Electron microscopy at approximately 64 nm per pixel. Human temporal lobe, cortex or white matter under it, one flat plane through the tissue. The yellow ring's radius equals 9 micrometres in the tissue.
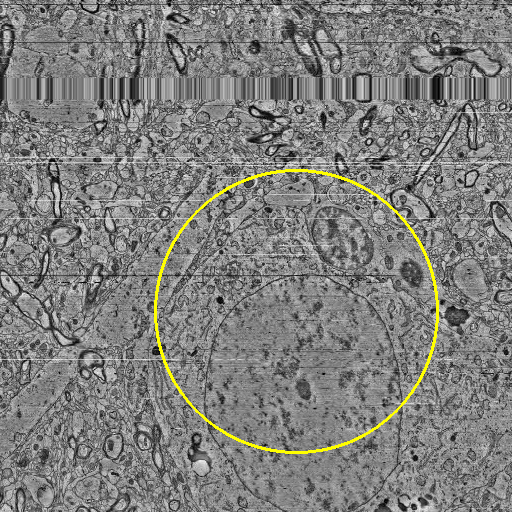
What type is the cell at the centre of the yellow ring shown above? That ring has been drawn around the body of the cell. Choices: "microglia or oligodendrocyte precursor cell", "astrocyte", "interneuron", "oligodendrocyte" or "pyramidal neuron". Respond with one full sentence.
My answer is that a pyramidal neuron lies at the centre of the yellow ring above.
